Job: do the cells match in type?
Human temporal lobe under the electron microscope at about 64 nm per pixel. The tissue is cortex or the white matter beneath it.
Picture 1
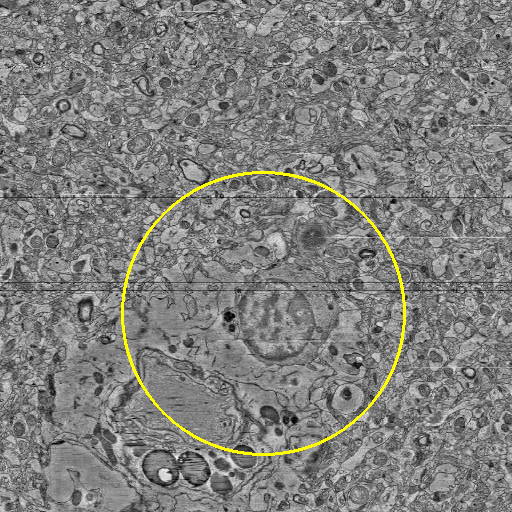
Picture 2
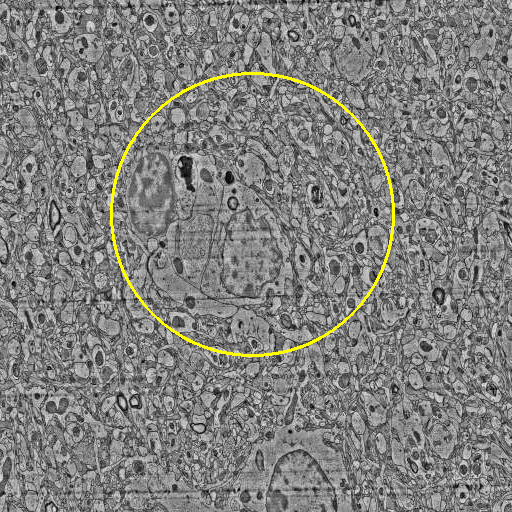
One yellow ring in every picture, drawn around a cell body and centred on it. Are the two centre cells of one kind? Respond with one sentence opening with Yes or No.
No, the ringed cells in the two pictures are of two separate kinds.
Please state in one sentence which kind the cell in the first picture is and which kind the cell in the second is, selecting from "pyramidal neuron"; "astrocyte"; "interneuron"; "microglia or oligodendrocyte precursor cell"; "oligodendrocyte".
The first ringed cell is an oligodendrocyte, the second ringed cell an interneuron.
